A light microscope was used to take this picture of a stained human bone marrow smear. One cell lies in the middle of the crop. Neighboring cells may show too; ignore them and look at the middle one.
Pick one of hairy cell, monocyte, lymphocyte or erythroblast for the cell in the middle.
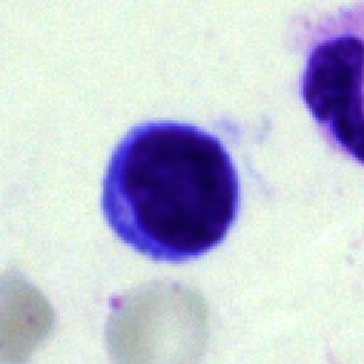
lymphocyte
